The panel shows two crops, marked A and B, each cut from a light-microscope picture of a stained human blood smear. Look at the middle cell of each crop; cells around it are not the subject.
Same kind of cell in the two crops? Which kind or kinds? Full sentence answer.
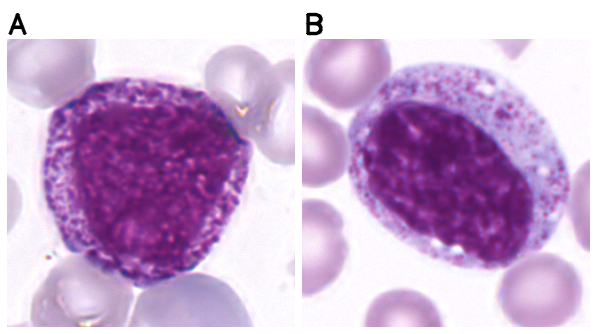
Yes, both crops are centred on cells that are promyelocytes.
